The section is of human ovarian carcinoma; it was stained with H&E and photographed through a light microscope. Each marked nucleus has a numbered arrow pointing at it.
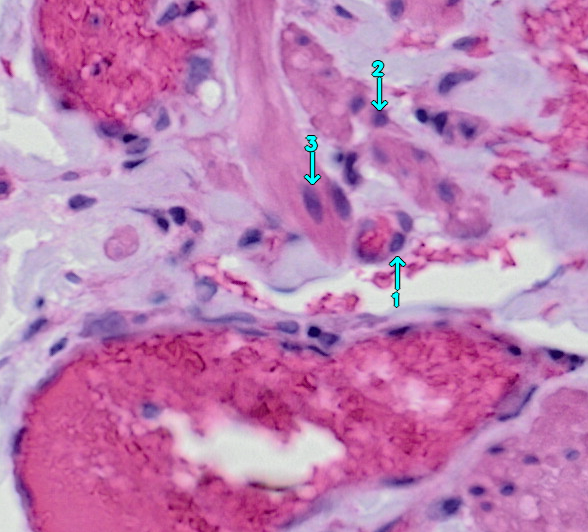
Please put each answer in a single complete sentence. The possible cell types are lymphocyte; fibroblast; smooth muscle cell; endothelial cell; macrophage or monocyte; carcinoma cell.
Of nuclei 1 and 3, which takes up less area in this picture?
It is nucleus 1; nucleus 3 has about 2 times its area.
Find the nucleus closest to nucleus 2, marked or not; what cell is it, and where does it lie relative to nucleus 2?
Just above and to the left of nucleus 2 lies the nearest nucleus, which belongs to a smooth muscle cell.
